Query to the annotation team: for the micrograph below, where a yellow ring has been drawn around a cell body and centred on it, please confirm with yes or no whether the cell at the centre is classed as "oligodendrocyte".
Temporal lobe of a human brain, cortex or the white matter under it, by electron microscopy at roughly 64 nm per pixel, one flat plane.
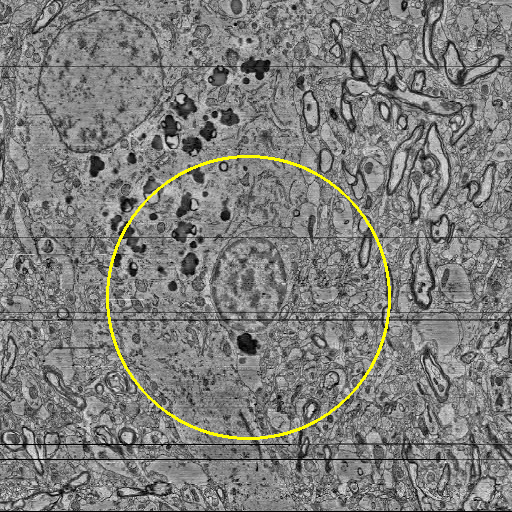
Yes, it is classed that way.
